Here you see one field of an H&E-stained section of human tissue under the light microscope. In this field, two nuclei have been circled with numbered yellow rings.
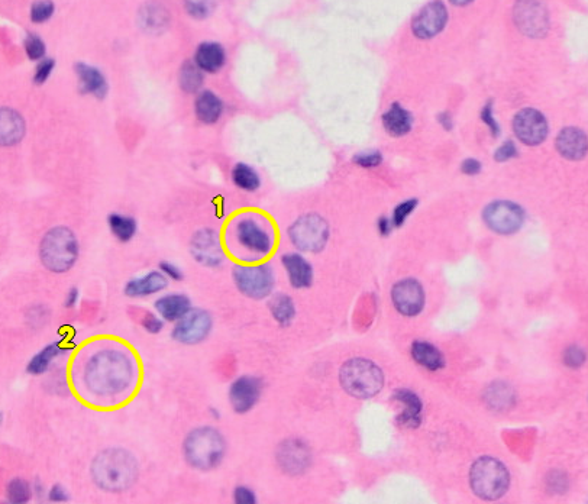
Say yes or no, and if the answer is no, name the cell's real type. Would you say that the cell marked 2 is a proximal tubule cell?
Yes.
